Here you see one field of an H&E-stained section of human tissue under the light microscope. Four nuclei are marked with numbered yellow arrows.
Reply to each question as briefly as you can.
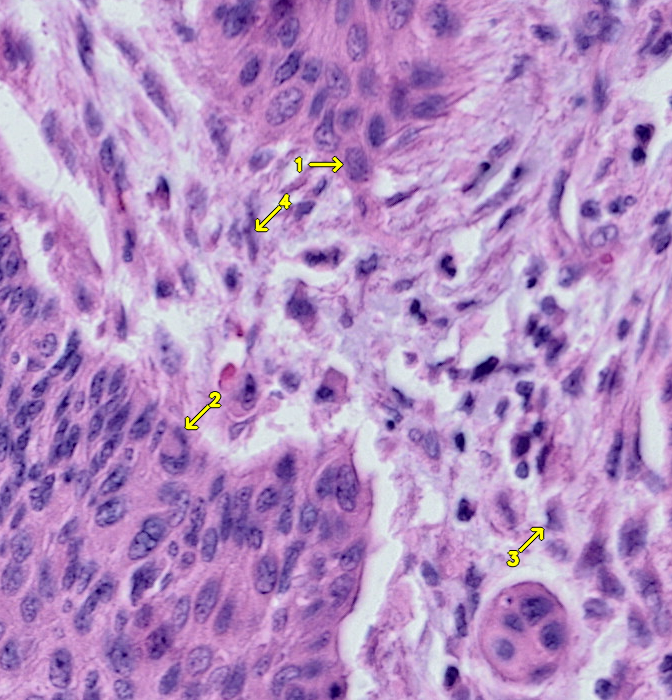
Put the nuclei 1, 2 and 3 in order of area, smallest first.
2, 3, 1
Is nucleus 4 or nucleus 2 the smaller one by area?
2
